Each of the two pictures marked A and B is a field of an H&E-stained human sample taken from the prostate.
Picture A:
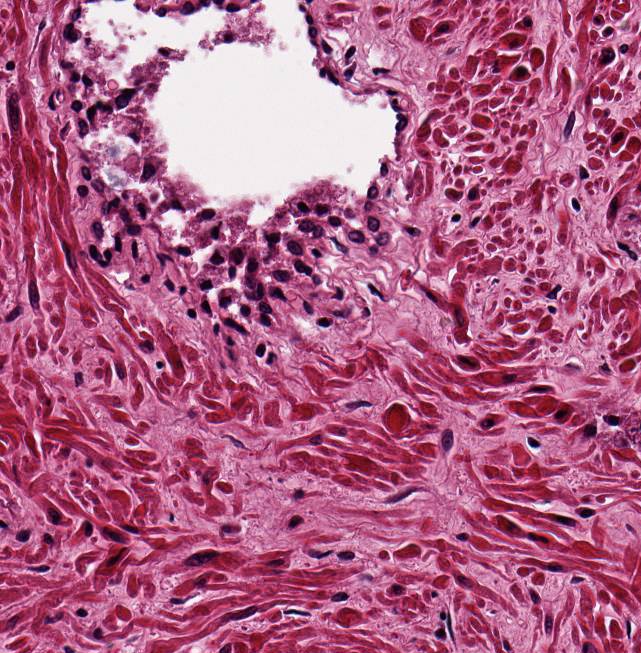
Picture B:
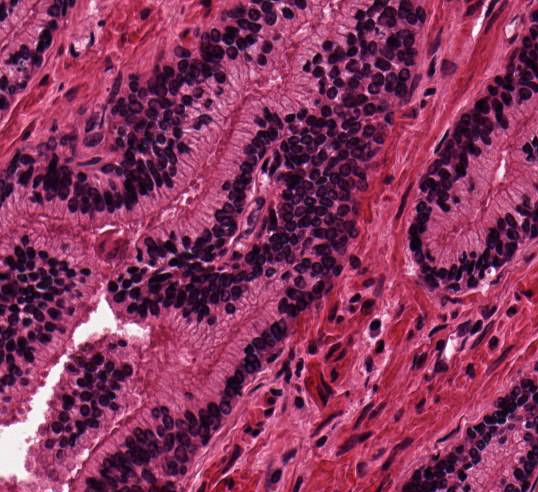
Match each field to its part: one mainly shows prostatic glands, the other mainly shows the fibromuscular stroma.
A: fibromuscular stroma
B: prostatic glands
